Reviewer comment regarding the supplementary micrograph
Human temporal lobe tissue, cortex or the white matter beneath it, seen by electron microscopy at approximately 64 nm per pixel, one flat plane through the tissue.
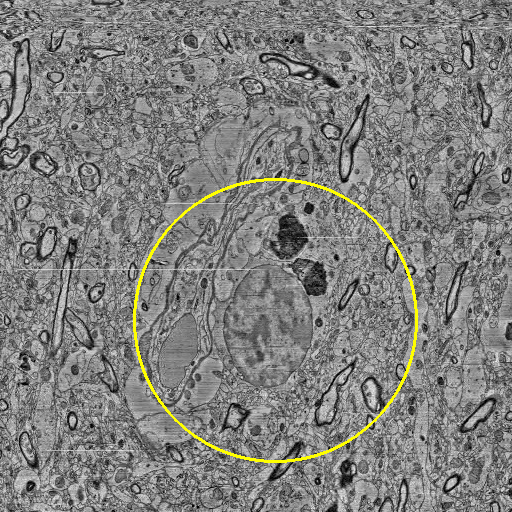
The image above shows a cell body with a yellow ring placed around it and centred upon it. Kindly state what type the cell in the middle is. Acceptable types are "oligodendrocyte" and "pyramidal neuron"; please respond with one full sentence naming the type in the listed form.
In the image above, the cell on which the yellow ring is centred is an oligodendrocyte.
